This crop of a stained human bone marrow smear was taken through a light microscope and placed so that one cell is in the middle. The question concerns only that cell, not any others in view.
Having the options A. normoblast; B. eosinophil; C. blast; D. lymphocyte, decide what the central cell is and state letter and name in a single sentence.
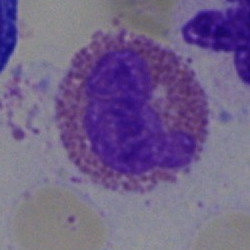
The correct option, B, names the middle cell as an eosinophil.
